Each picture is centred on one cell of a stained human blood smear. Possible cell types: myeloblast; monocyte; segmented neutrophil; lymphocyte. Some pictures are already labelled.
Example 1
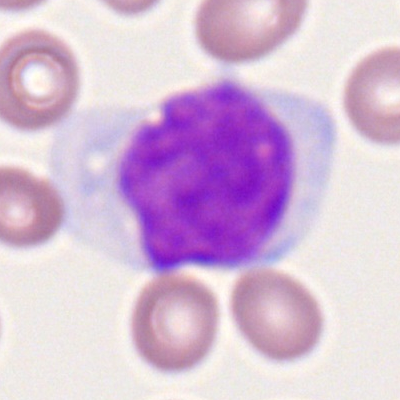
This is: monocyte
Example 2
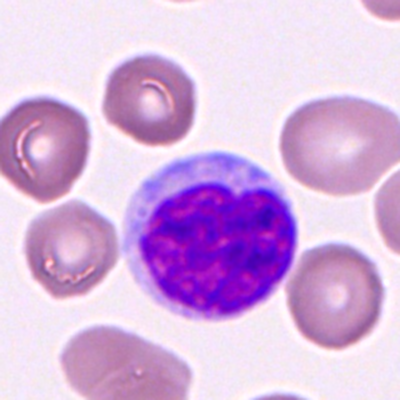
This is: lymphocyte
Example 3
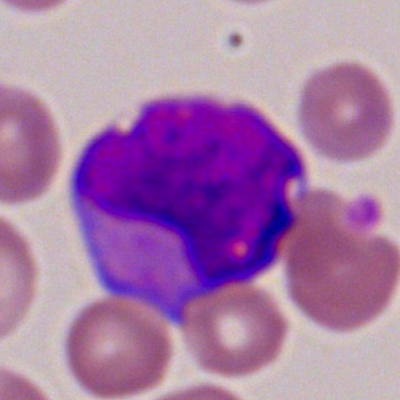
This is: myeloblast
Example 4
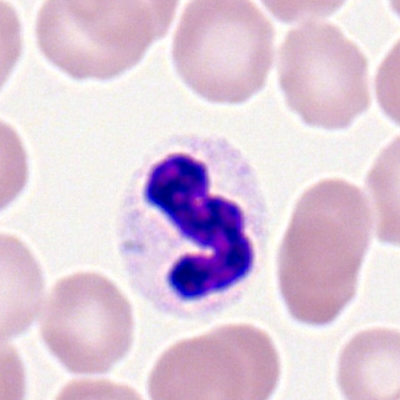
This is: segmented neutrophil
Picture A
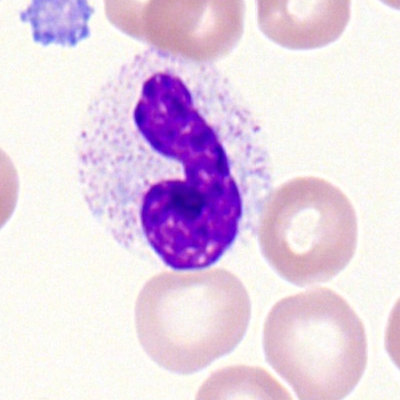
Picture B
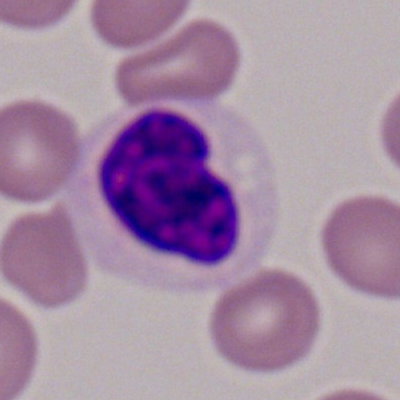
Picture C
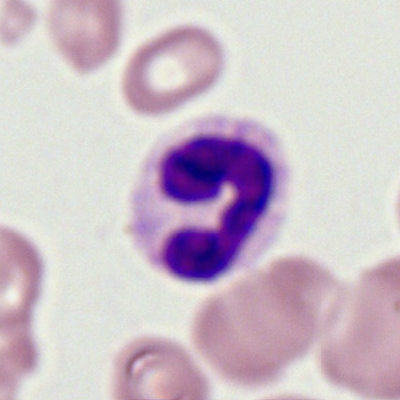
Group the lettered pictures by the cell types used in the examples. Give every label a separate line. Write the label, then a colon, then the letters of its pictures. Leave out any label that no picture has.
segmented neutrophil: A, B, C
